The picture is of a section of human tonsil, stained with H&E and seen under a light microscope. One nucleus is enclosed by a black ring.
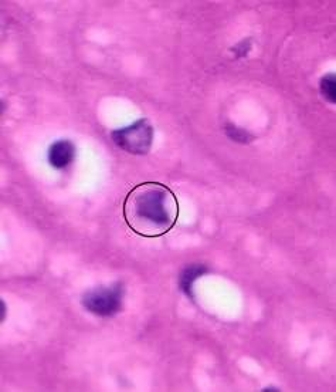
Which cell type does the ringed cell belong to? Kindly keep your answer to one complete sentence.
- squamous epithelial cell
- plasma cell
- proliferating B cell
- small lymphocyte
For cell typing purposes, the ringed cell is a squamous epithelial cell.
